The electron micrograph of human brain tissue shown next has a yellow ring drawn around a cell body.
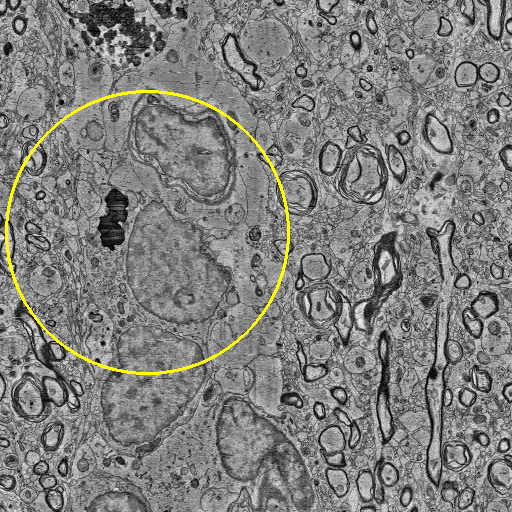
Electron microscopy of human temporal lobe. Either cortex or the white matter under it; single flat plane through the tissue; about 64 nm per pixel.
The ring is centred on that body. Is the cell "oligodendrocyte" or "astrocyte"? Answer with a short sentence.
The cell in question is an oligodendrocyte.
